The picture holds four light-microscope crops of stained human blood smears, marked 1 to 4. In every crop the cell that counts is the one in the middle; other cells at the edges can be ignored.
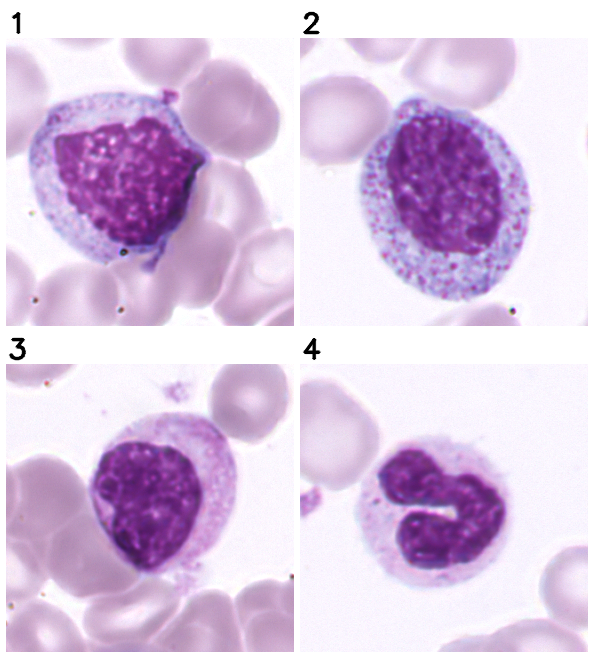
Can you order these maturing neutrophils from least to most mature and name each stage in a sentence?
Placed in order from least to most mature, they run crop 2 (a promyelocyte), crop 1 (a myelocyte), crop 3 (a metamyelocyte) and crop 4 (a band neutrophil).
